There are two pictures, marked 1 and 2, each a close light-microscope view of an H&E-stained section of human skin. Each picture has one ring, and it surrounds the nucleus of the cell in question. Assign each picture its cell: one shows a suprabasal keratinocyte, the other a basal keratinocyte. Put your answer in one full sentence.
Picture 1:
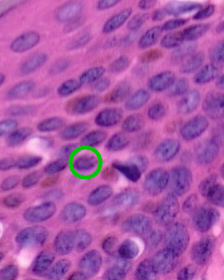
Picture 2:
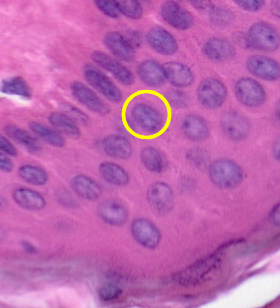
It is picture 1 that shows a basal keratinocyte, and picture 2 that shows a suprabasal keratinocyte.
